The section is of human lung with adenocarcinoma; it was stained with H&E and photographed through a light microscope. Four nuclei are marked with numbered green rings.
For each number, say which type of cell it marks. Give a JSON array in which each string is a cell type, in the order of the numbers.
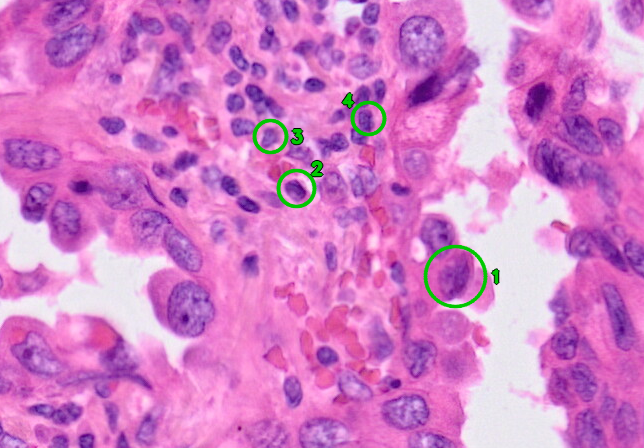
["carcinoma cell", "lymphocyte", "lymphocyte", "lymphocyte"]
